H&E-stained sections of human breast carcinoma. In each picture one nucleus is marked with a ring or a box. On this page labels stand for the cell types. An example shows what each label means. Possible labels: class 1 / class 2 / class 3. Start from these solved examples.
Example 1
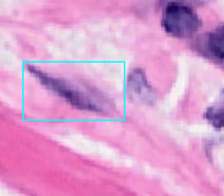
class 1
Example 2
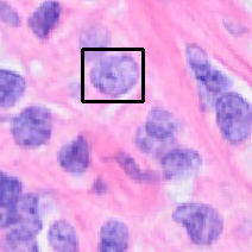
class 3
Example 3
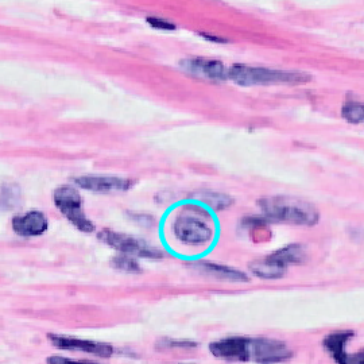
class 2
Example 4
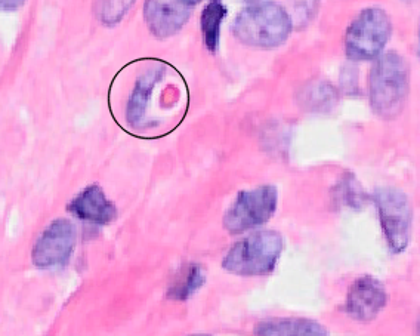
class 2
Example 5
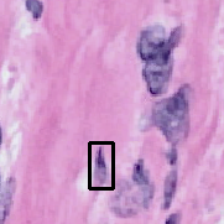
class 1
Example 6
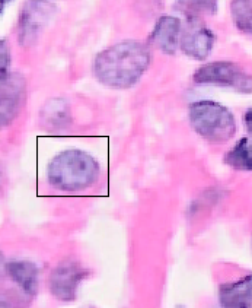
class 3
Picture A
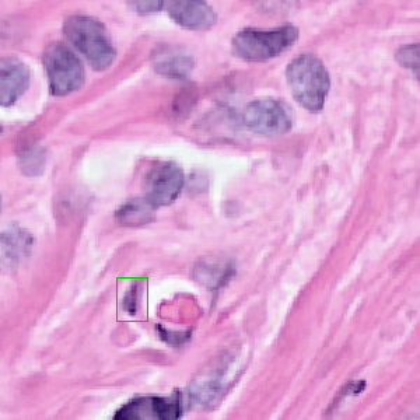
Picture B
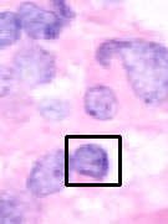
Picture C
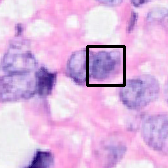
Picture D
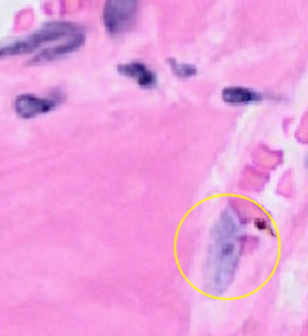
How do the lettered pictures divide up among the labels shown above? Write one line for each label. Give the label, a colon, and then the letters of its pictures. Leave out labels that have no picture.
class 2: A, D
class 3: B, C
